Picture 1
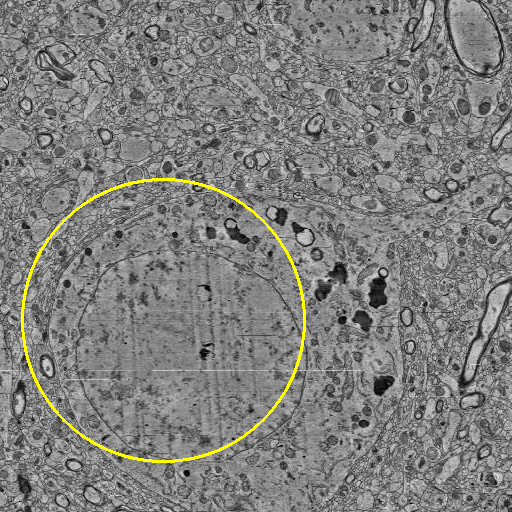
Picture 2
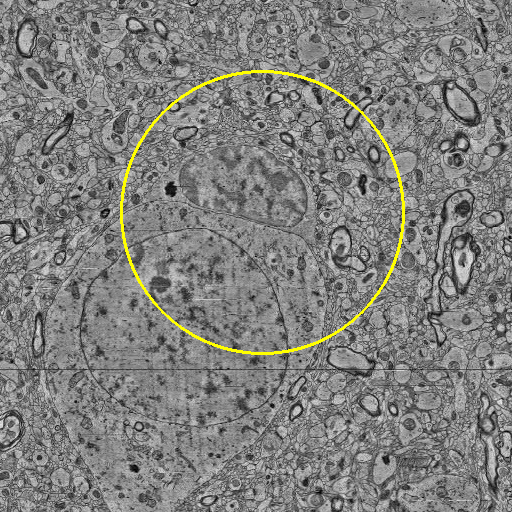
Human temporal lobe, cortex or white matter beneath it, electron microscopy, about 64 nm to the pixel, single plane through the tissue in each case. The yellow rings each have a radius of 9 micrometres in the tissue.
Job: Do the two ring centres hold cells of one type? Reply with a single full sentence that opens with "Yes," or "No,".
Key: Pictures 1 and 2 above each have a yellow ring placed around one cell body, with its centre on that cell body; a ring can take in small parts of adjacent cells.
No, the cells at the two ring centres are of two separate types.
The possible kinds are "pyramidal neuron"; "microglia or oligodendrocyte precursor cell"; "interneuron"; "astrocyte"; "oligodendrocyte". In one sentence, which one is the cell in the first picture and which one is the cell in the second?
The cell ringed in the second picture is an oligodendrocyte, whereas the one ringed in the first is a pyramidal neuron.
